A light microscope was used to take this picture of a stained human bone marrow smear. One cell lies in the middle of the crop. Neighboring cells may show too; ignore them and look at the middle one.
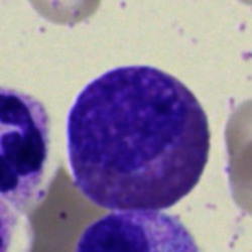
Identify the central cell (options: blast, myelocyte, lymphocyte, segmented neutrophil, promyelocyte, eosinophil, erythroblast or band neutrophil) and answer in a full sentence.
The cell nearest the centre of this crop is an eosinophil.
